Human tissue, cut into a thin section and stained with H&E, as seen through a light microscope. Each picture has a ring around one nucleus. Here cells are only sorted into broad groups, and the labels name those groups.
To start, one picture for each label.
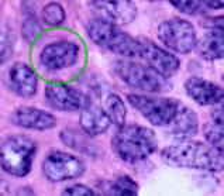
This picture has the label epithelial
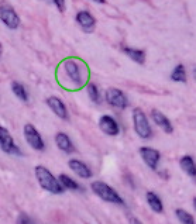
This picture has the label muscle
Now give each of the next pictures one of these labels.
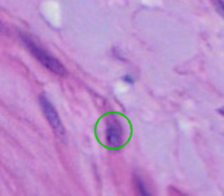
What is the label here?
muscle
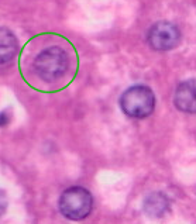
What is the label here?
epithelial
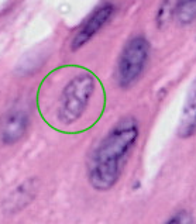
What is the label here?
epithelial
